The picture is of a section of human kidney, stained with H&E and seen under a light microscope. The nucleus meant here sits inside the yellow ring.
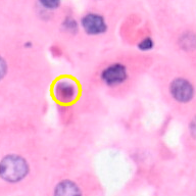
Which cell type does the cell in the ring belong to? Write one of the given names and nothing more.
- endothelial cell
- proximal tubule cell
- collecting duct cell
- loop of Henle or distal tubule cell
endothelial cell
